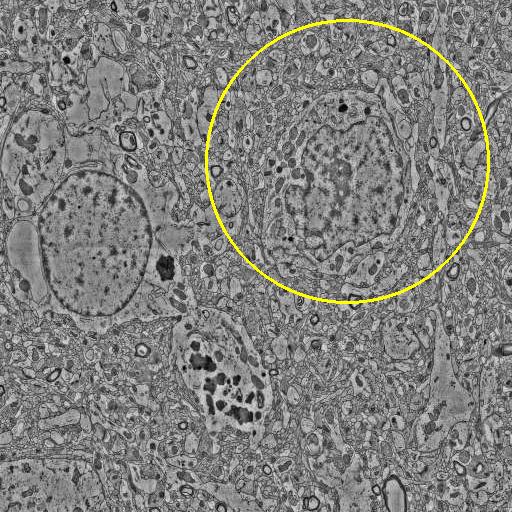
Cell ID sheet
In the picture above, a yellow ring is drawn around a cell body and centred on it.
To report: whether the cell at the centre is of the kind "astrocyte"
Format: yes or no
no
